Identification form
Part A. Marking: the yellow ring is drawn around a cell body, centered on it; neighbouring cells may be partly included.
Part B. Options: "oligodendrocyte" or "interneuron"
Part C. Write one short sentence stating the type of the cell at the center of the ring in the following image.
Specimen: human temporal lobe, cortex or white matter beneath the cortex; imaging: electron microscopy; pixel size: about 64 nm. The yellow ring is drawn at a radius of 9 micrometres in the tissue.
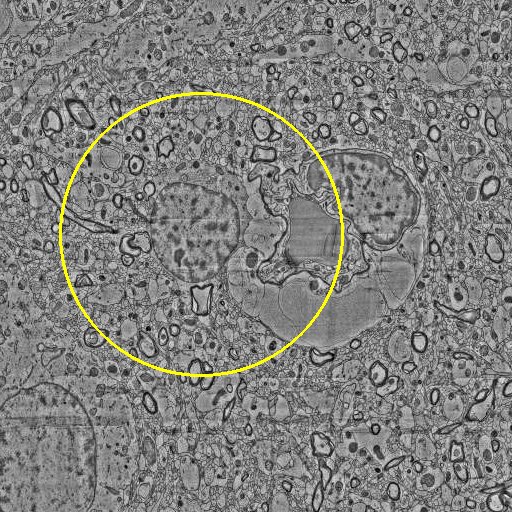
The center of the ring holds an oligodendrocyte.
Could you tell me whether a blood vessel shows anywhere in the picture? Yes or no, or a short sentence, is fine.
Yes, there is one.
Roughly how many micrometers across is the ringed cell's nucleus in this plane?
The nucleus is approximately 6 micrometers across in this plane.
